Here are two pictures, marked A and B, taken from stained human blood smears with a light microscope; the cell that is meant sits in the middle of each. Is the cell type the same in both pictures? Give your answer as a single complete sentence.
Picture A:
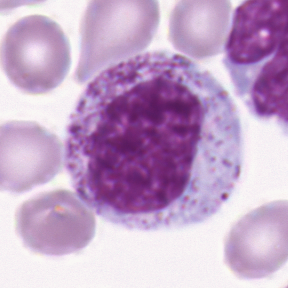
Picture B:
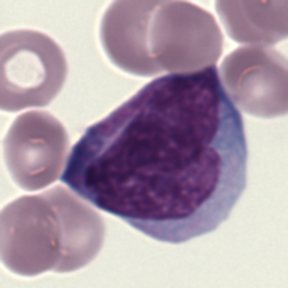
No, they differ: the cell is a myelocyte in picture A and an atypical promyelocyte in picture B.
